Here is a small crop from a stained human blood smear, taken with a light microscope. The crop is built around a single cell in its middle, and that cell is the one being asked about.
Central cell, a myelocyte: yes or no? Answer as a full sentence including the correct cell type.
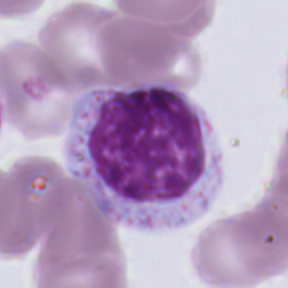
Yes, that is a myelocyte in the middle of the crop.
